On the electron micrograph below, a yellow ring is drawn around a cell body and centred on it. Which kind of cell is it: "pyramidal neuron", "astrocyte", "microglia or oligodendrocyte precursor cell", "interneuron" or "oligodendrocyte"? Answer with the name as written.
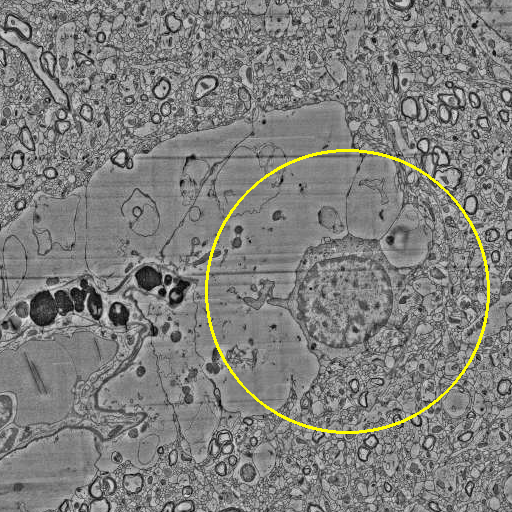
oligodendrocyte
